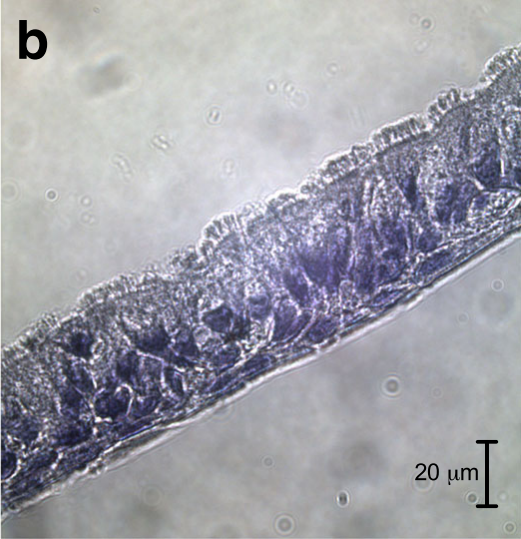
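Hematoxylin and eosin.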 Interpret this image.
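A thin band of epithelium runs diagonally across the field, resting on a straight, smooth, pale basal line like a support membrane. The cells are tall and crowded, with darker purple-blue nuclei and cytoplasm stacked at different heights, giving a layered, pseudostratified look. Along the upper free surface runs an uneven fringe of fine projections, in keeping with a differentiated ciliated surface.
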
